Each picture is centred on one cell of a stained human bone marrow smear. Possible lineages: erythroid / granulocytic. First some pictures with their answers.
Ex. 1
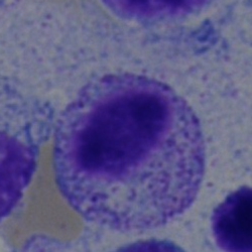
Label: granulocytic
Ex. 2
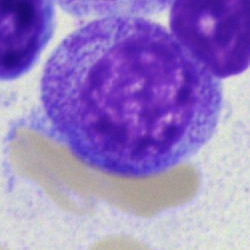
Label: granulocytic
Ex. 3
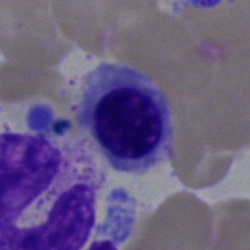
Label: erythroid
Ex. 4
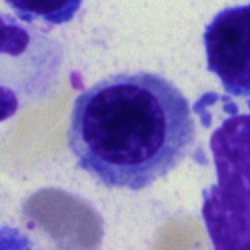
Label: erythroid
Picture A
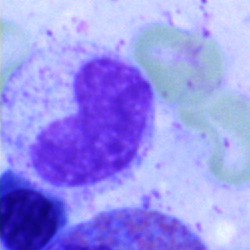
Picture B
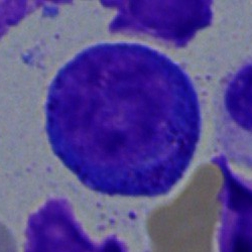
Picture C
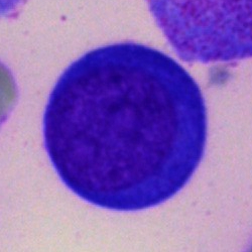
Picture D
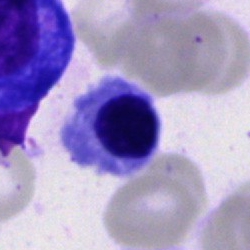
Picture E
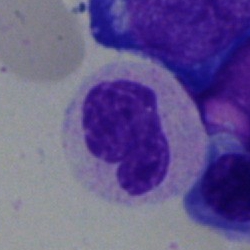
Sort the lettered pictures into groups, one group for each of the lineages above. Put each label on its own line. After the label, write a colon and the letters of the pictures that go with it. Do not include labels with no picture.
erythroid: B, C, D
granulocytic: A, E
